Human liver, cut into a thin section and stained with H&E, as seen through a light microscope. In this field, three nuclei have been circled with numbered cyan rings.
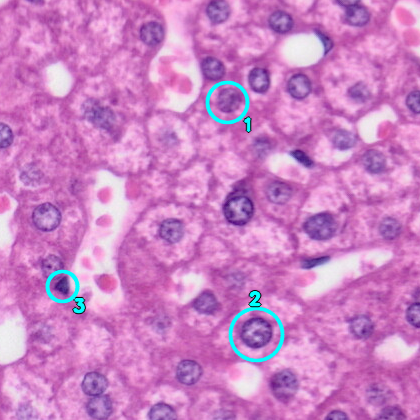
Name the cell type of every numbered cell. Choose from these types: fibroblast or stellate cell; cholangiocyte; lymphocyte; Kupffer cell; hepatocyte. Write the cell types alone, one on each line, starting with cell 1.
hepatocyte
hepatocyte
fibroblast or stellate cell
